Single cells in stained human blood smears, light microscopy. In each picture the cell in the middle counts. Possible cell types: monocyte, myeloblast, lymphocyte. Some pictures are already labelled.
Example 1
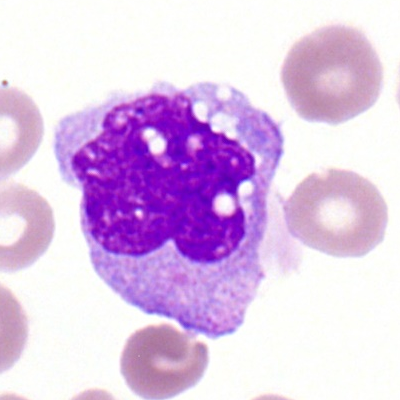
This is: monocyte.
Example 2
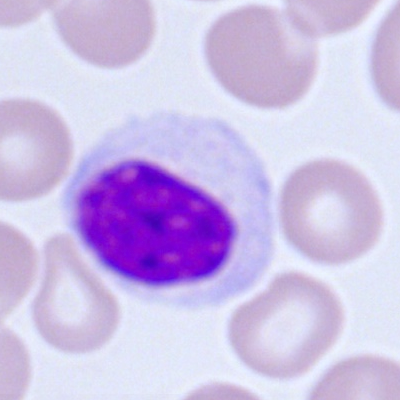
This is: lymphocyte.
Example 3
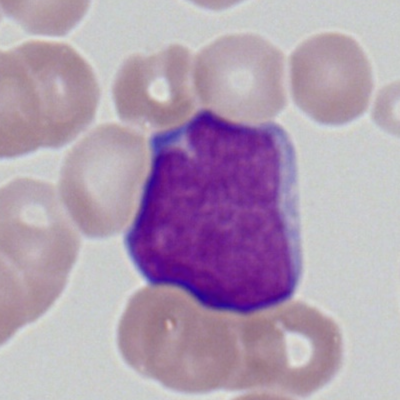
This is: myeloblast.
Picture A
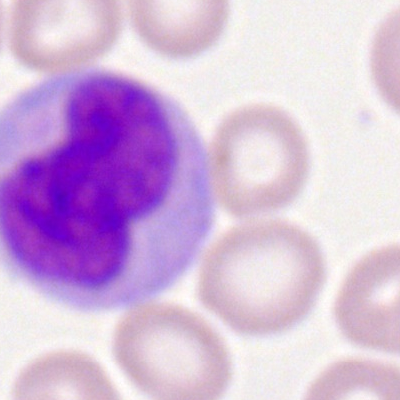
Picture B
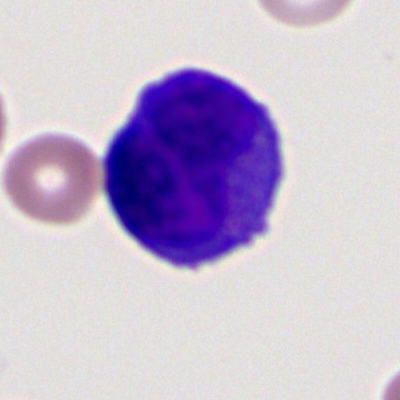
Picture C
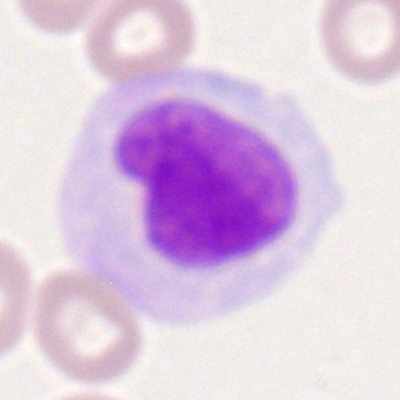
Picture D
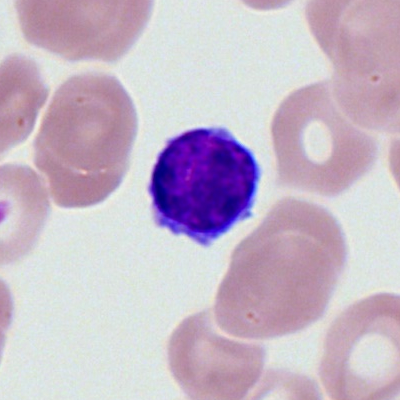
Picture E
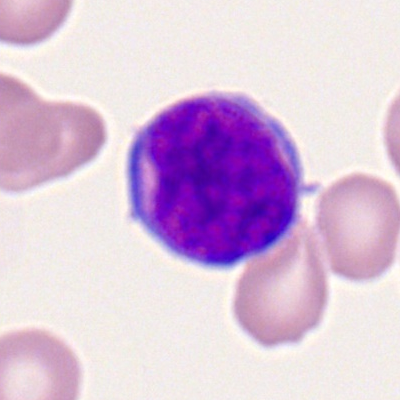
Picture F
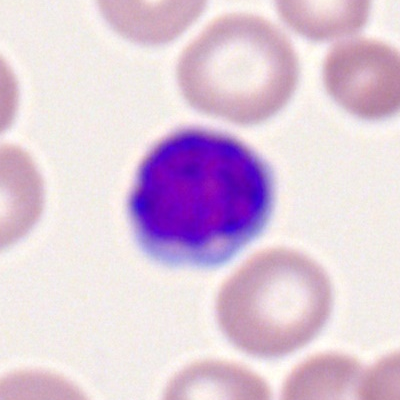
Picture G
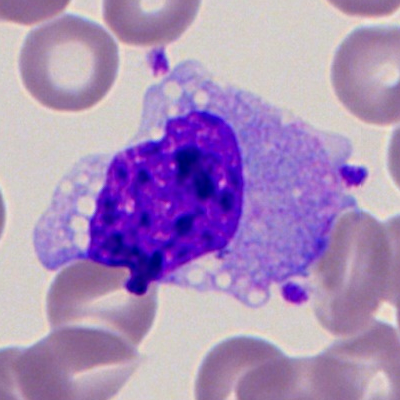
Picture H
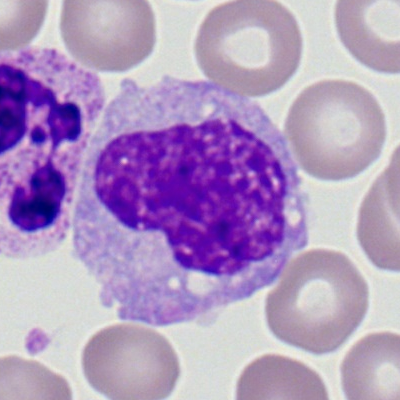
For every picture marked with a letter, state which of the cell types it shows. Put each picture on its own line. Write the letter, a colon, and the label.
A: monocyte.
B: myeloblast.
C: monocyte.
D: lymphocyte.
E: myeloblast.
F: lymphocyte.
G: monocyte.
H: monocyte.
